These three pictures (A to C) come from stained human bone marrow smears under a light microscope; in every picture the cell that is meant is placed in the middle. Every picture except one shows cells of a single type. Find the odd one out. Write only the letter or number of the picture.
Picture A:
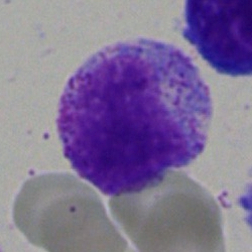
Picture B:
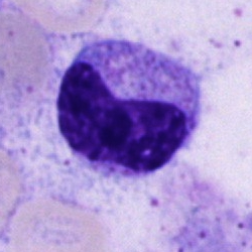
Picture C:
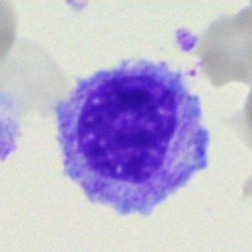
B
